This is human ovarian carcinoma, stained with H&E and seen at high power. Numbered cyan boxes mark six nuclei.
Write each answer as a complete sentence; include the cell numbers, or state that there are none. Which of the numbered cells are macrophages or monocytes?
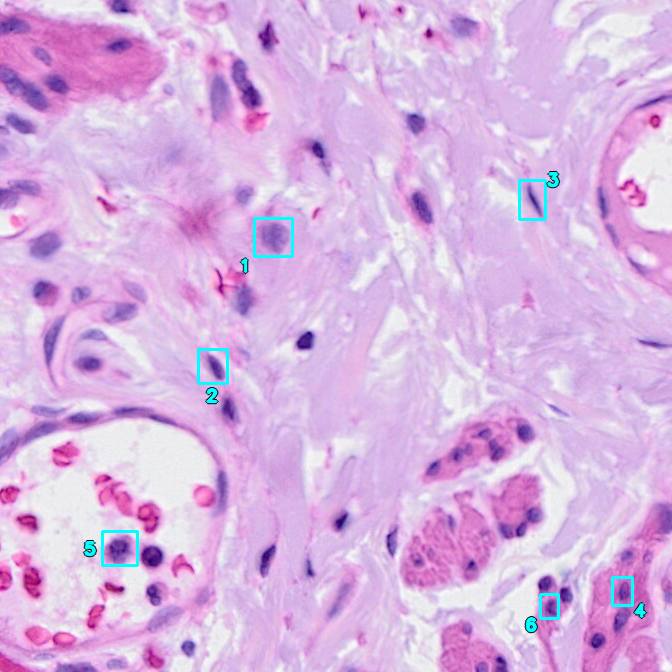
Cell 5 is the only numbered cell that is a macrophage or monocyte.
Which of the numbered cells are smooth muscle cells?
The cells identified by the numbers 4 and 6 are smooth muscle cells.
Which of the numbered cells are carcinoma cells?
No numbered cell here qualifies as one of the carcinoma cells.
